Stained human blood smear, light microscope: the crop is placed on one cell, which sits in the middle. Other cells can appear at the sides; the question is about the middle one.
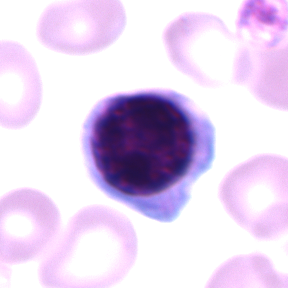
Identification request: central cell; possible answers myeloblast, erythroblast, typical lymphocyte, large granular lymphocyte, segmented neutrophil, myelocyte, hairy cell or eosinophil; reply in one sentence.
What sits at the centre of this crop is an erythroblast.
